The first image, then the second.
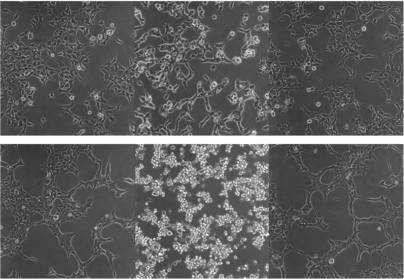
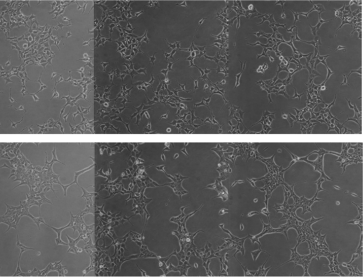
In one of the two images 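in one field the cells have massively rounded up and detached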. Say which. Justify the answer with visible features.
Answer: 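The first image. Second image: all six fields show flat, spread cells with branching processes, with no field dominated by rounded cells. First image: the middle field of the lower row is crowded with small, rounded, bright-rimmed cells with hardly any spread processes.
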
